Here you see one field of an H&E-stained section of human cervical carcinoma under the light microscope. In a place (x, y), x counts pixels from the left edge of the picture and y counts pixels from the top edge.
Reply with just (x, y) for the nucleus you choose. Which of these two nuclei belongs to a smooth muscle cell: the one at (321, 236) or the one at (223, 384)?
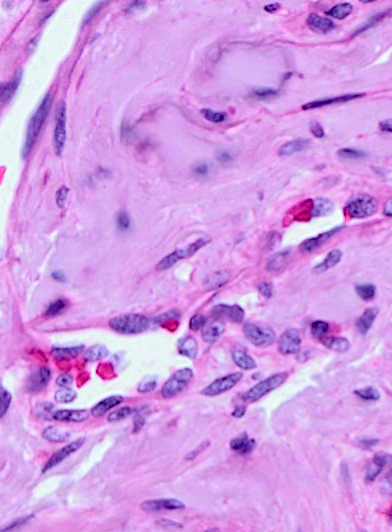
(223, 384)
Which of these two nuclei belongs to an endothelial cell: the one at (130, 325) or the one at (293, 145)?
(130, 325)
